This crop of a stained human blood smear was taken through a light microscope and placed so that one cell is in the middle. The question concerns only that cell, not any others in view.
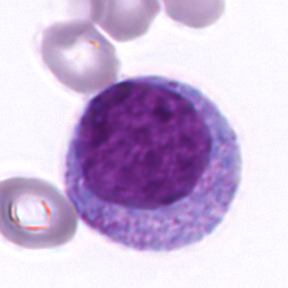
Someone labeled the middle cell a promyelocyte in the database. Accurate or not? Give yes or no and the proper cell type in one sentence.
Yes, a promyelocyte is what the central cell is.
